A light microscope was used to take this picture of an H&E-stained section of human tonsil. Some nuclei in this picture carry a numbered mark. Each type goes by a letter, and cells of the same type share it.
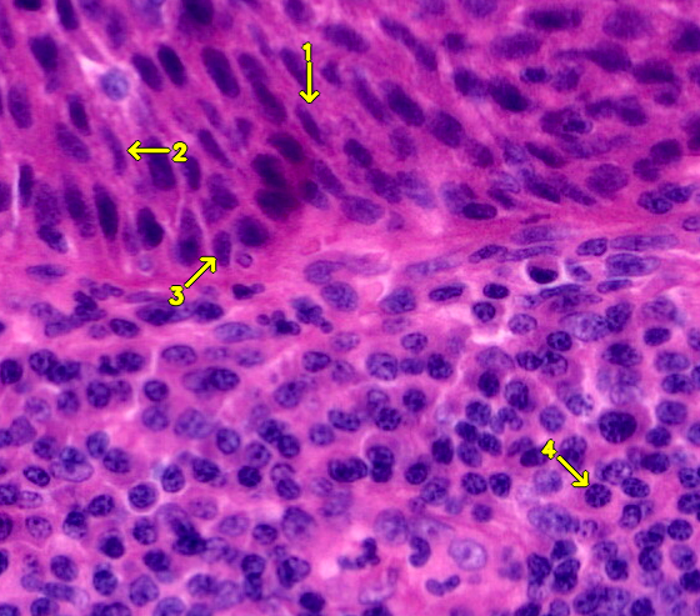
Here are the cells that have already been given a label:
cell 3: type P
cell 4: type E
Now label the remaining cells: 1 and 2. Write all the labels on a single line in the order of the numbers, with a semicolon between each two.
type P; type P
